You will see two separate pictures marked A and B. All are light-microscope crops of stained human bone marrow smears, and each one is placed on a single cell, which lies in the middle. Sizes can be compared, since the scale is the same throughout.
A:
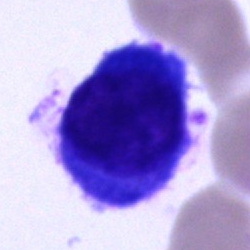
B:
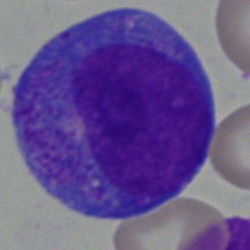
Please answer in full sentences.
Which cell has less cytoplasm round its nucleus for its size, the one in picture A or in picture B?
In picture A the nucleus takes up the larger part of its cell.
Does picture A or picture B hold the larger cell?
It is the cell in picture B, about 2 times as large in area as the cell in picture A.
